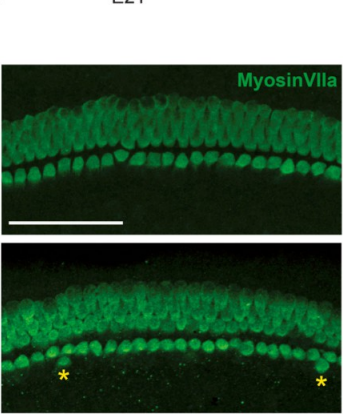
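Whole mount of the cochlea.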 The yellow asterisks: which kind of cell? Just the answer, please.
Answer: Extra hair cells.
